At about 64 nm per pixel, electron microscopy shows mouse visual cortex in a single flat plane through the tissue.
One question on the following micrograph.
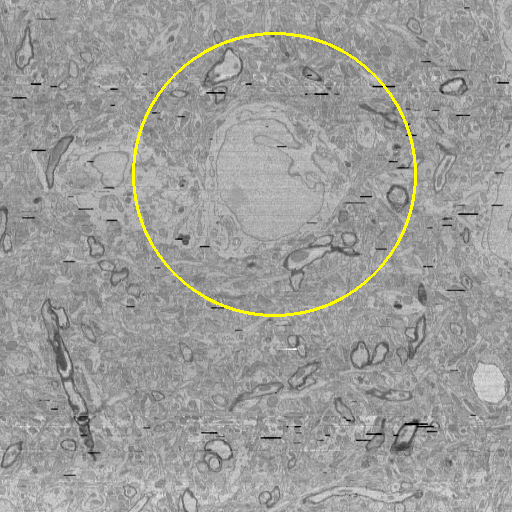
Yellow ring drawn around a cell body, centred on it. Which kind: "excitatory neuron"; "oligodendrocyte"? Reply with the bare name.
excitatory neuron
